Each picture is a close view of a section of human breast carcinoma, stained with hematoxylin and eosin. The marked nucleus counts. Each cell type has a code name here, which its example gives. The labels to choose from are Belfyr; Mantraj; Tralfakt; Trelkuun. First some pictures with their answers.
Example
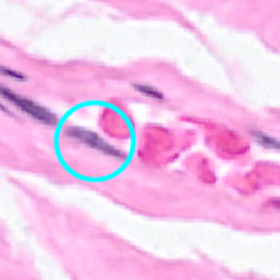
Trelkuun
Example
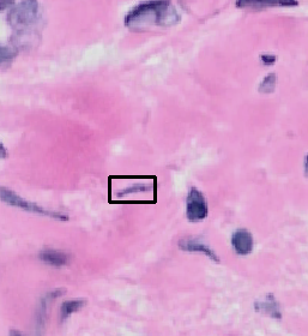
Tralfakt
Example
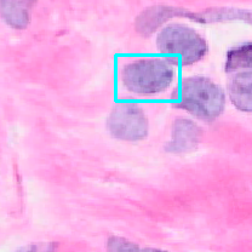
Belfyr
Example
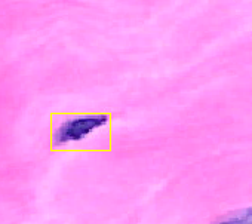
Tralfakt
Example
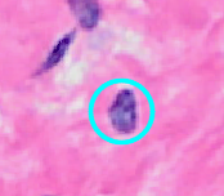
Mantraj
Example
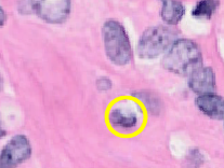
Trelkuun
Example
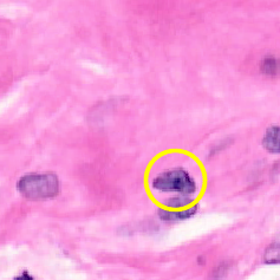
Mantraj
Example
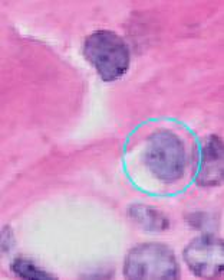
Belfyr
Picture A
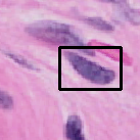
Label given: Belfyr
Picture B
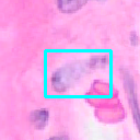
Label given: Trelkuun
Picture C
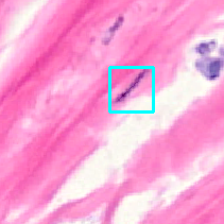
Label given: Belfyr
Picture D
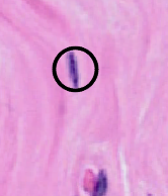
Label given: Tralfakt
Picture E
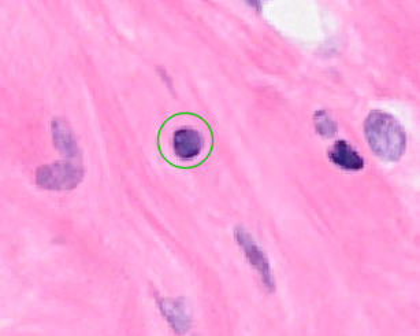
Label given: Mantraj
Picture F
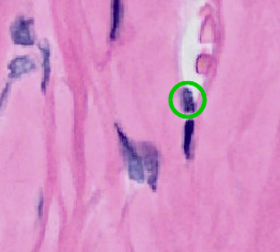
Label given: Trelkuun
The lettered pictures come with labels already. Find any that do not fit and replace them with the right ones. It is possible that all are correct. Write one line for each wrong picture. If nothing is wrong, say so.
A: not Belfyr but Trelkuun
C: not Belfyr but Tralfakt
